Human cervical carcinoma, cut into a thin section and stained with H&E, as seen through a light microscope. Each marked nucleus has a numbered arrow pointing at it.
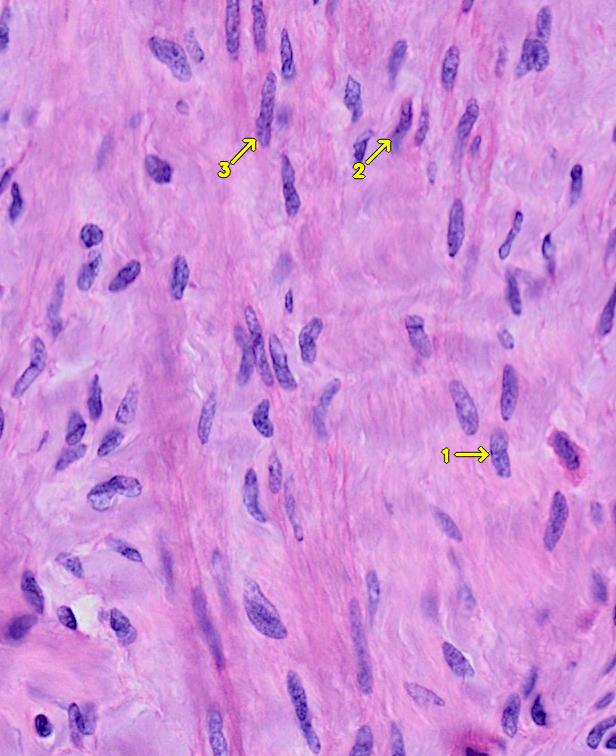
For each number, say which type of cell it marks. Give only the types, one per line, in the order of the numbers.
fibroblast
smooth muscle cell
smooth muscle cell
